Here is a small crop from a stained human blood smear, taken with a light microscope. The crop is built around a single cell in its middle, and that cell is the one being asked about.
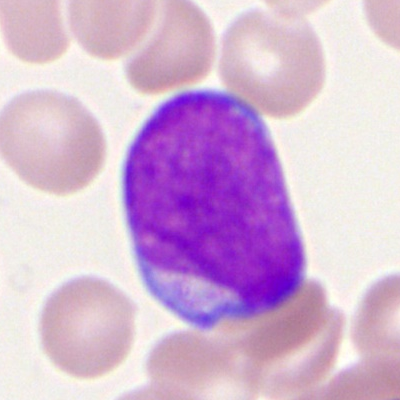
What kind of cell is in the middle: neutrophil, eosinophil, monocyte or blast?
blast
